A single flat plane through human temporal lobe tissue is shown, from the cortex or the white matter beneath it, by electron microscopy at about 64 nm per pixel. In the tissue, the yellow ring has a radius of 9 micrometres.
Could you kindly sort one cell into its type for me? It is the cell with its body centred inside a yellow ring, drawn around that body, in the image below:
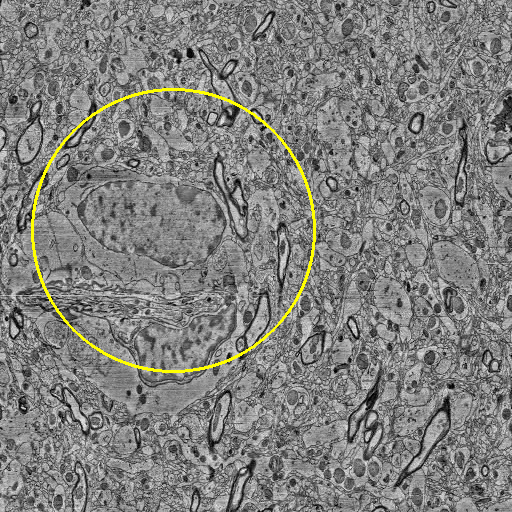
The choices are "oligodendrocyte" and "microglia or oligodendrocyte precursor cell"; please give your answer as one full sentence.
The cell whose body lies centred in the yellow ring here is a microglial cell or oligodendrocyte precursor cell.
